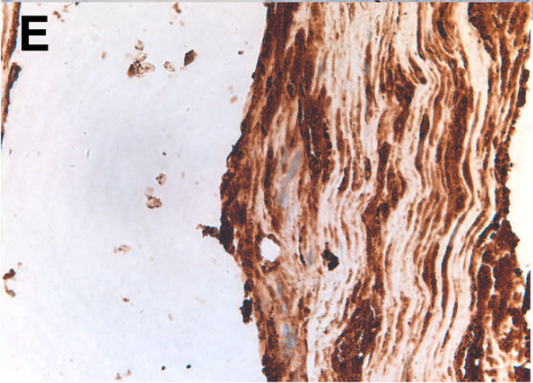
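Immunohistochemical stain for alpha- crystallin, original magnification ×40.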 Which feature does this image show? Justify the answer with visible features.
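Long, wavy, parallel bands run through the tissue. The bands are stained intensely dark brown.
Answer: lens fibers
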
